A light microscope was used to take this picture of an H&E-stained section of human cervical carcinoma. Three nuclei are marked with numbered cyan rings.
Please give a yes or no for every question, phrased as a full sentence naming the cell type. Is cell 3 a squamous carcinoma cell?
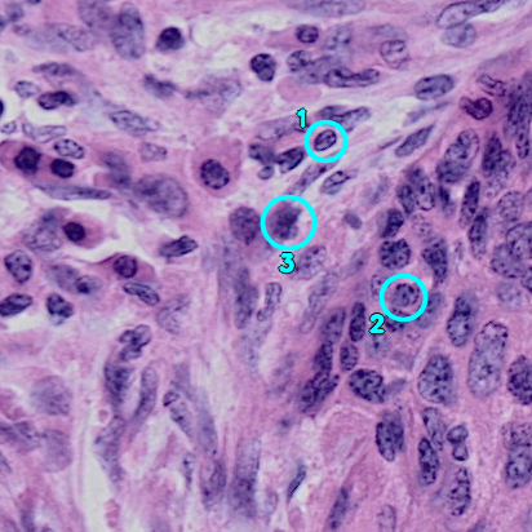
No, with respect, cell 3 is a lymphocyte rather than a squamous carcinoma cell.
